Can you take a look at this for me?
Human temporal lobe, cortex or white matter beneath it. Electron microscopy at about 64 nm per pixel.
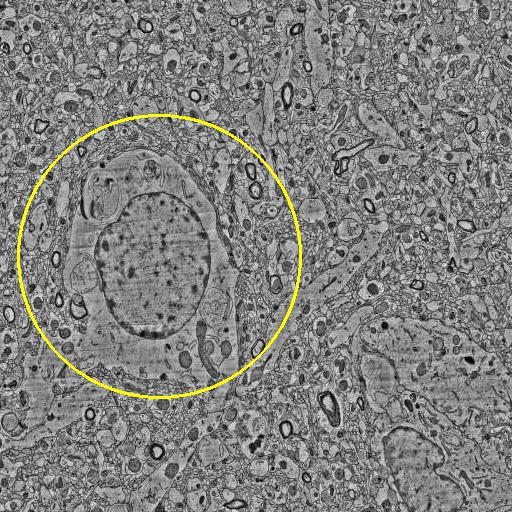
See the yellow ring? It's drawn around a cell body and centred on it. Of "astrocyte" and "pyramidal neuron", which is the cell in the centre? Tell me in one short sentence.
The one in the centre is an astrocyte.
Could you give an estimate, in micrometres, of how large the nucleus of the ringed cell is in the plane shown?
In this plane, roughly 9 by 7 micrometres.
